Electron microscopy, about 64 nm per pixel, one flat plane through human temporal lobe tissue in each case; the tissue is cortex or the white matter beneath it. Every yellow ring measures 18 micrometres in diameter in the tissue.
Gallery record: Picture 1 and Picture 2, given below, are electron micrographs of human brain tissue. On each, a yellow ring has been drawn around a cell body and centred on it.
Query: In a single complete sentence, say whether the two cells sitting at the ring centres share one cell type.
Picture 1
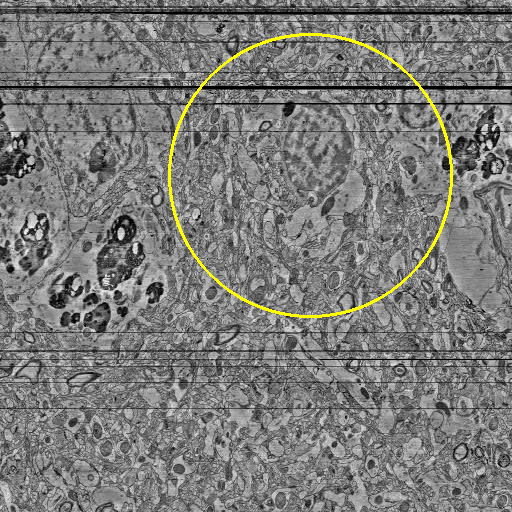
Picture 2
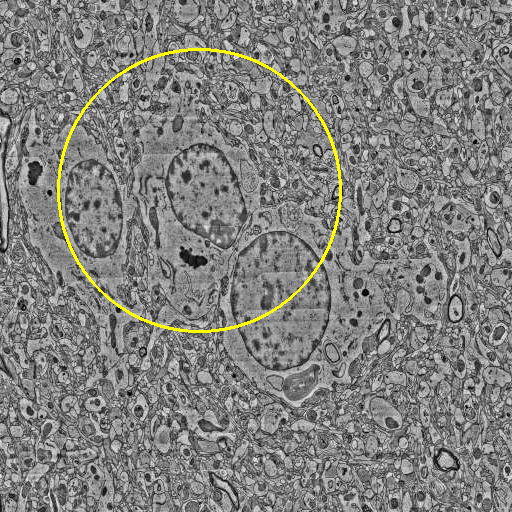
No, in the two pictures the cells at the rings' centres are of two separate types.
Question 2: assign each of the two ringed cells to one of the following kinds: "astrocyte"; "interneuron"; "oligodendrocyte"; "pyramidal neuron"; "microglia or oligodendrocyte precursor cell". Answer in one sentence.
The two cells are an oligodendrocyte in the first picture and an astrocyte in the second.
